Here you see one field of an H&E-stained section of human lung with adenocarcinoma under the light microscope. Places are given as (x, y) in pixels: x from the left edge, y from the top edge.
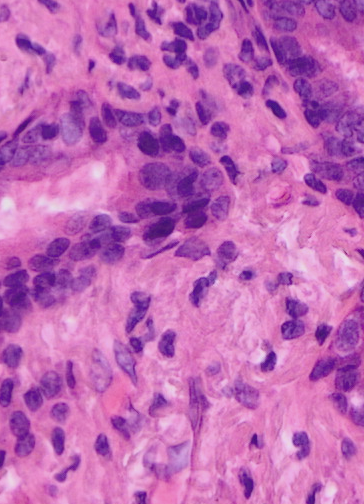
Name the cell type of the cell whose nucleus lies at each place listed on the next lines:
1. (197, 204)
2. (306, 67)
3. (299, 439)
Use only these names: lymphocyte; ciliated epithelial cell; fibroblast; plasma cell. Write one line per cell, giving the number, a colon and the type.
1: ciliated epithelial cell
2: ciliated epithelial cell
3: lymphocyte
